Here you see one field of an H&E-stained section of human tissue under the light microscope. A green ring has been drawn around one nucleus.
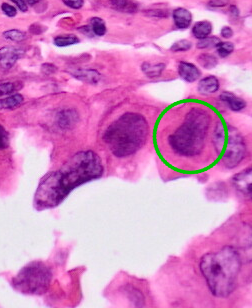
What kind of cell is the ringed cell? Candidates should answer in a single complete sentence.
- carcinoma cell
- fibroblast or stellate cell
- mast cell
Typologically, the ringed cell is a carcinoma cell in this section.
